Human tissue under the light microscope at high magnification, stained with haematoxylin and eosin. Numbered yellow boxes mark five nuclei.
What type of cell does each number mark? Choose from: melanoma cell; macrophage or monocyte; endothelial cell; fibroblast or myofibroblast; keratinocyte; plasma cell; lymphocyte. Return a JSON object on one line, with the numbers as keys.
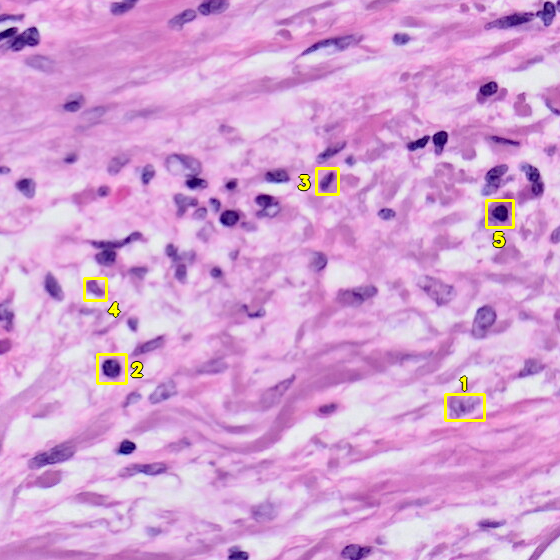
{"1": "fibroblast or myofibroblast", "2": "plasma cell", "3": "macrophage or monocyte", "4": "fibroblast or myofibroblast", "5": "plasma cell"}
